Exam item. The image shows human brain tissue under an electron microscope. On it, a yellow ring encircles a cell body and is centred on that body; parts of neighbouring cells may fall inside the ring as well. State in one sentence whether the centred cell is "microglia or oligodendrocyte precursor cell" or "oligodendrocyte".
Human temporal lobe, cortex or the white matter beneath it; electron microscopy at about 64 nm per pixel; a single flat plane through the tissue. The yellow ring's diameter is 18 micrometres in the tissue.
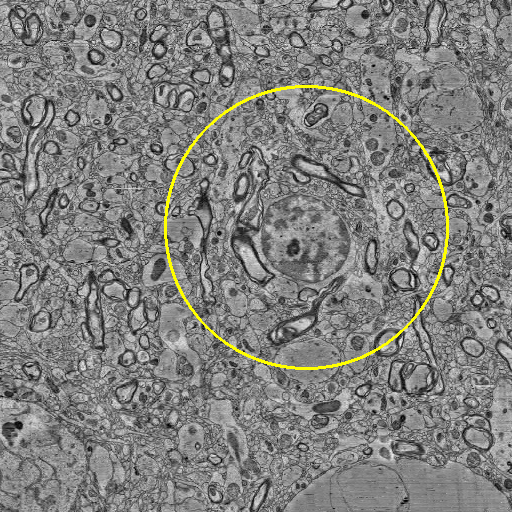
The cell body centred in the ring is an oligodendrocyte.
